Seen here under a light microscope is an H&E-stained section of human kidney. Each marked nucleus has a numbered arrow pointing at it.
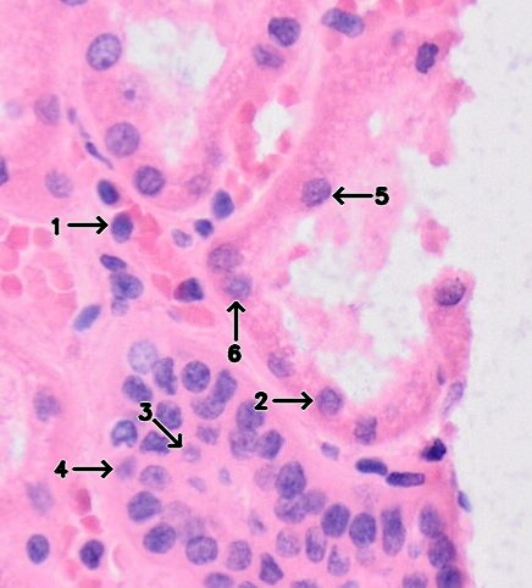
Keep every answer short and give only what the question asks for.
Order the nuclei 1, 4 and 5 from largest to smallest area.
5, 1, 4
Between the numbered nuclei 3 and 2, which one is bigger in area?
2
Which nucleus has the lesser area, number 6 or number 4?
4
